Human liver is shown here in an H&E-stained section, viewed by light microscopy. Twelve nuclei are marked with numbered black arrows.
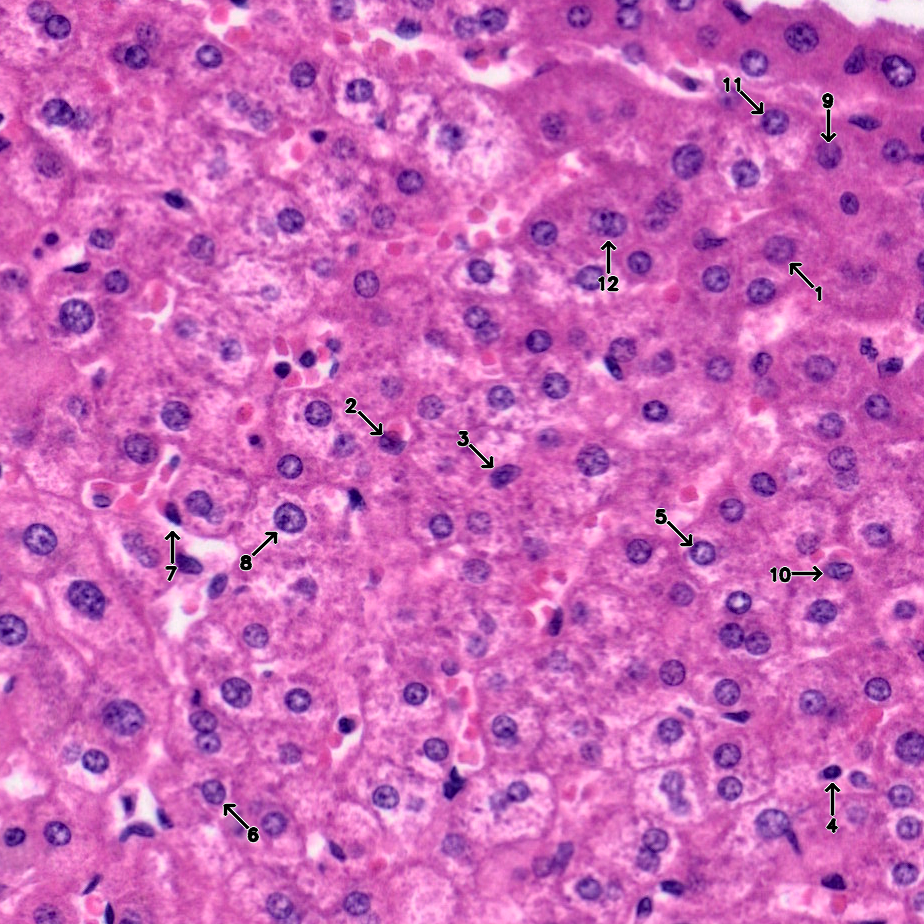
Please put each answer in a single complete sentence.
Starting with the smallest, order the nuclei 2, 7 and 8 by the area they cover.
The order from the smallest nucleus to the largest is 7, 2, 8.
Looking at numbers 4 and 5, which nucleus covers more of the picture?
At about 2 times the area of nucleus 4, nucleus 5 is the larger of the two.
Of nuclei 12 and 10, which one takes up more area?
The larger nucleus is 12, at roughly 2 times the area of 10.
